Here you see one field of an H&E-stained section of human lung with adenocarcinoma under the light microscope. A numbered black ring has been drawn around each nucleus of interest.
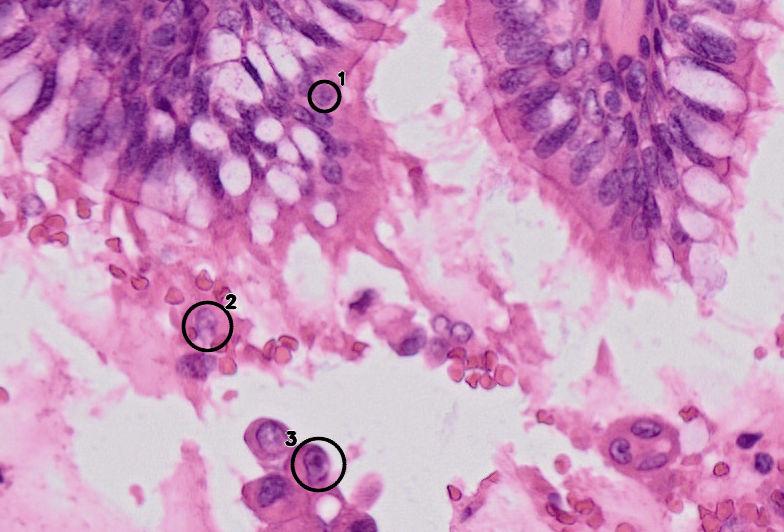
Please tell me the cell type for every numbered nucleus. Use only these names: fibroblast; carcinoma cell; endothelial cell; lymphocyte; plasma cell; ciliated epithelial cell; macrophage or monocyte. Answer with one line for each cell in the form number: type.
1: ciliated epithelial cell
2: macrophage or monocyte
3: carcinoma cell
